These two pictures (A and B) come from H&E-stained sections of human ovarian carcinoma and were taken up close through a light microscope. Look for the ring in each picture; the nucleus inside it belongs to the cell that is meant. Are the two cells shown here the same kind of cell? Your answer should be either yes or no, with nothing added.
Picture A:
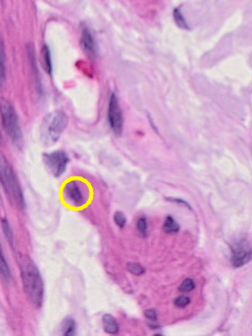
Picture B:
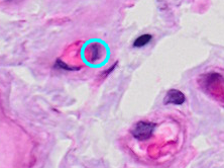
no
